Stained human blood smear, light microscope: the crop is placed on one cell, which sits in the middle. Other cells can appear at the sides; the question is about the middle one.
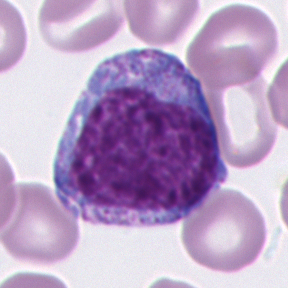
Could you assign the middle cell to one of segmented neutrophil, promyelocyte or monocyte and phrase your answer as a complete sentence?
Located at the centre of the crop is a promyelocyte.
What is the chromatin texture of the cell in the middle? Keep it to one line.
Its nuclear chromatin is gathered into coarse clumps.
